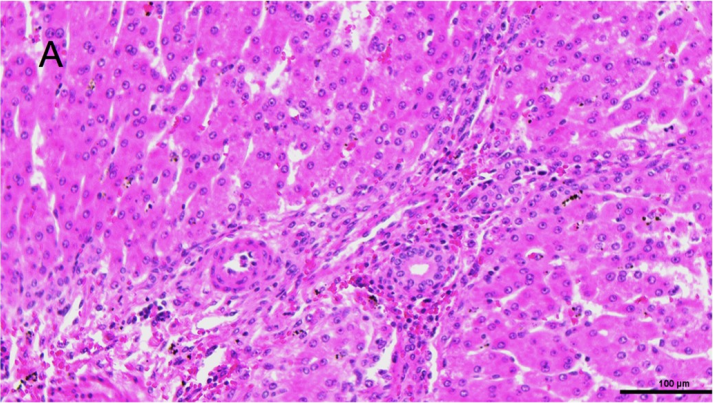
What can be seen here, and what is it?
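This is liver parenchyma in which large polygonal cells with pink cytoplasm and round, centrally placed purple nuclei are arranged in plates separated by narrow clear spaces. Running diagonally through the middle is a band of connective tissue carrying a small thick-walled vessel and a small tubular structure lined by cuboidal cells. Many small, dark, densely stained nuclei are crowded in and around this band. The cell plates on the left appear somewhat separated by widened clear spaces.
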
